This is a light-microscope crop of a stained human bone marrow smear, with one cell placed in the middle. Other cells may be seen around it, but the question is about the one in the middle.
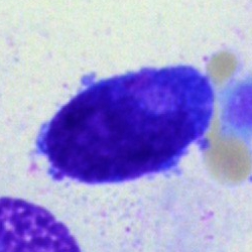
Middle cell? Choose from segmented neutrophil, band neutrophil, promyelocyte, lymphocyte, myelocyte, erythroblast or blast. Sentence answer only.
The cell at the middle of the frame should be recorded as a promyelocyte.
